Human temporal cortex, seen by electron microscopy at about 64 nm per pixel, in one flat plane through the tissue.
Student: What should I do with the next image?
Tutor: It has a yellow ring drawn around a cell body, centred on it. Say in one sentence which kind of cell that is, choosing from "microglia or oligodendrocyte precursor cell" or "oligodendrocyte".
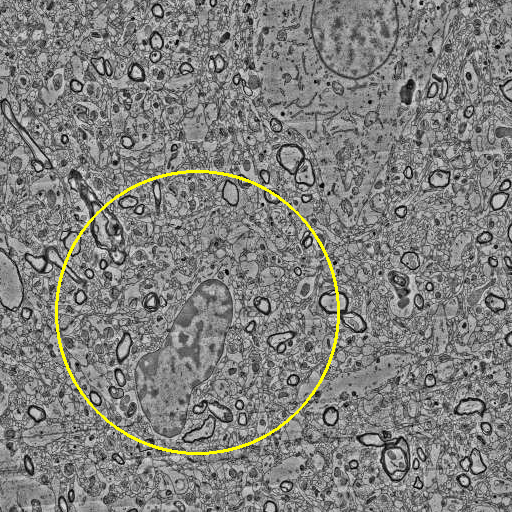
The ring's centre is occupied by a microglial cell or oligodendrocyte precursor cell.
